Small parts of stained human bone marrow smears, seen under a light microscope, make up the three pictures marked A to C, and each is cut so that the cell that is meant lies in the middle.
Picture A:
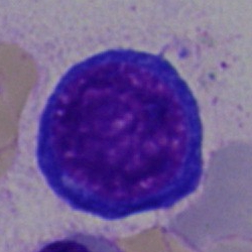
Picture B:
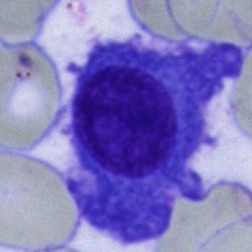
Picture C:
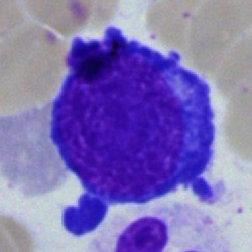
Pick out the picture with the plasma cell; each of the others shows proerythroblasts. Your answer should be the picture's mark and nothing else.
B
